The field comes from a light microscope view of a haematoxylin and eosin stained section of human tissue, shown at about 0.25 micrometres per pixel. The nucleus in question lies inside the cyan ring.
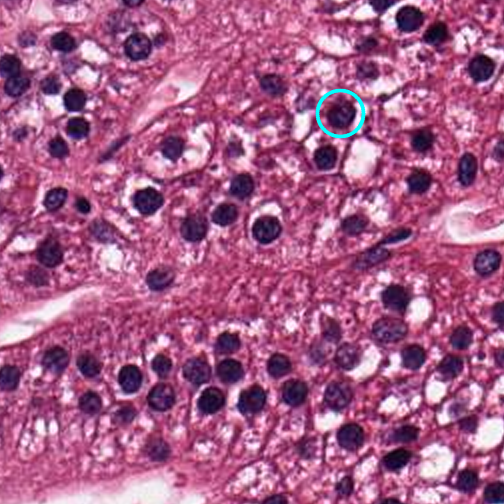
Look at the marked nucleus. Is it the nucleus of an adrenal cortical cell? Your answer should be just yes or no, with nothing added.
yes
